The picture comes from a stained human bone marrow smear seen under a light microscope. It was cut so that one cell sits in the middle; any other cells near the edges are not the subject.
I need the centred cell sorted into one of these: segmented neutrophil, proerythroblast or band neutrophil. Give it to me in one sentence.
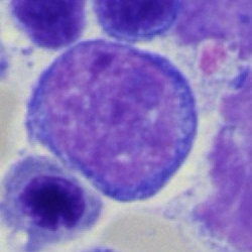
In the centre of this crop there is a proerythroblast.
